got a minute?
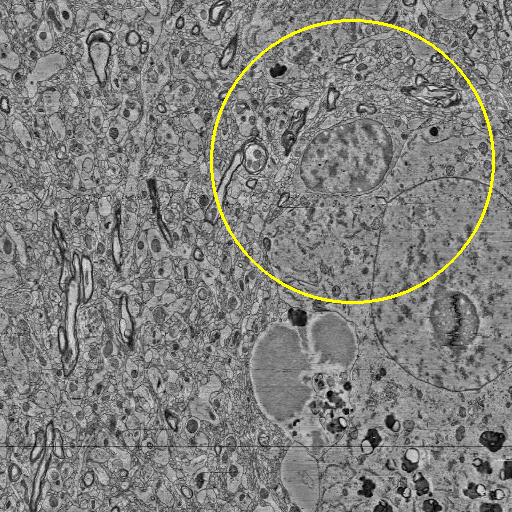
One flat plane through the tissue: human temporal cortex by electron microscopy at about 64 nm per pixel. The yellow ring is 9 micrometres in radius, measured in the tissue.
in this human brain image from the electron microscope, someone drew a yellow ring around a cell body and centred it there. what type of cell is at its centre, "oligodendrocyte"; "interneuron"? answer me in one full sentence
It's an oligodendrocyte at the middle of that yellow ring in the shot.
